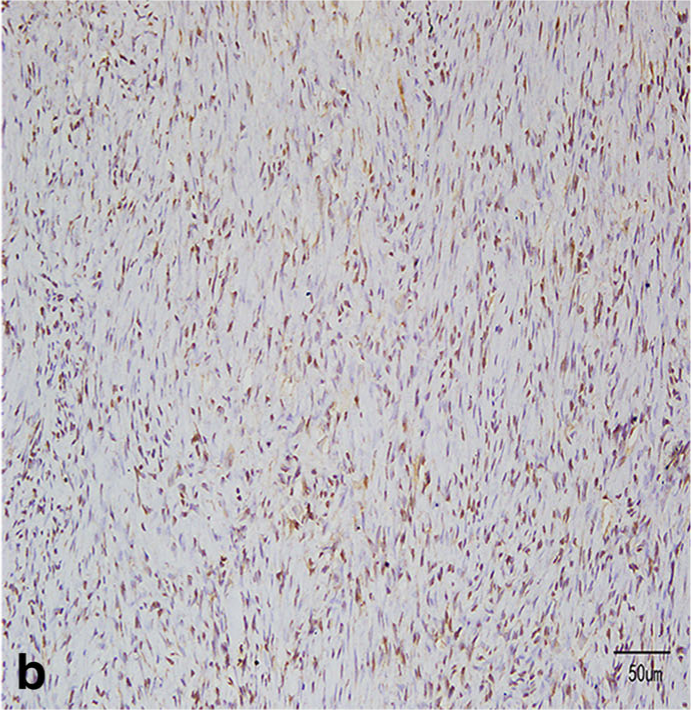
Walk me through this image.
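This lesion consists of densely packed, slender spindle-shaped fibroblast-like cells running in long parallel streams through a pale fibrous background. Many of the elongated nuclei are stained brown, with some faint brown in the cytoplasm, interspersed with blue unstained nuclei.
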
